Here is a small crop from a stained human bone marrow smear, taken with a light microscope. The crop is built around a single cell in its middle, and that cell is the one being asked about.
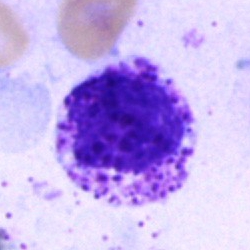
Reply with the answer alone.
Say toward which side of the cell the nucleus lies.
top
